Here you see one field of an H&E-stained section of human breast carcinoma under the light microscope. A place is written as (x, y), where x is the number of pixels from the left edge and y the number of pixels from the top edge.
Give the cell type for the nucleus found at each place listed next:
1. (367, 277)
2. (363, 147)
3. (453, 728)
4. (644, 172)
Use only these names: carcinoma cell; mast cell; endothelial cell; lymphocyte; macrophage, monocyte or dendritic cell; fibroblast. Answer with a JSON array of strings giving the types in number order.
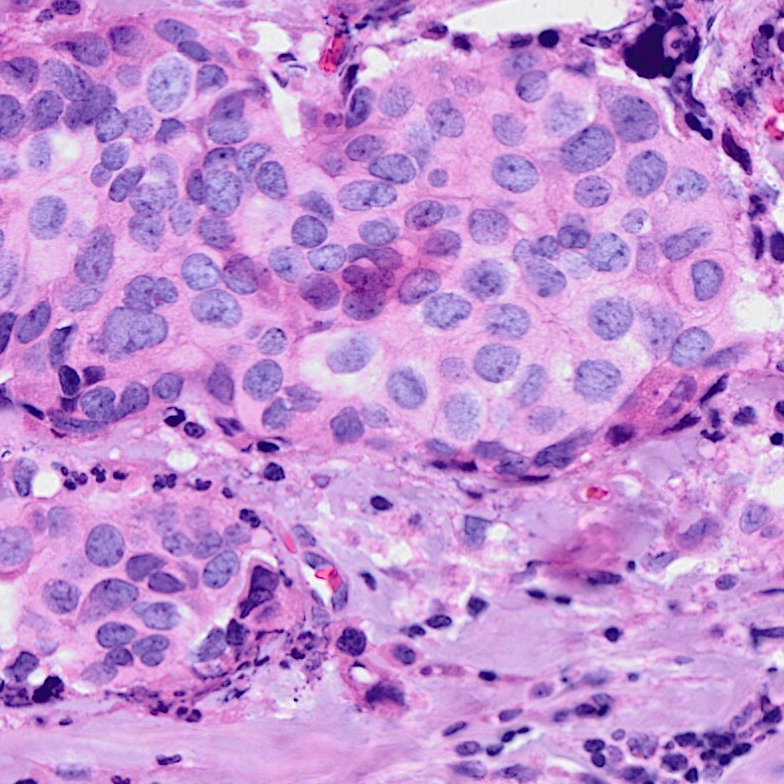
["carcinoma cell", "carcinoma cell", "lymphocyte", "carcinoma cell"]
